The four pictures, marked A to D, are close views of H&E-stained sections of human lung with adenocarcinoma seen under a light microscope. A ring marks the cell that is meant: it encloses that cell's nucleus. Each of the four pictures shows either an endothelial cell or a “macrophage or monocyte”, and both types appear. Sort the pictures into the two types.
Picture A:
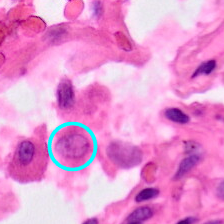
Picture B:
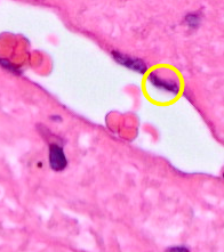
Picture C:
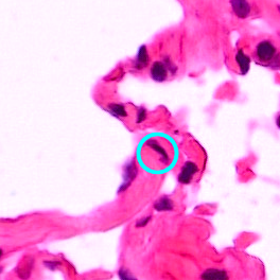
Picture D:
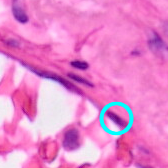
A: macrophage or monocyte
B: endothelial cell
C: endothelial cell
D: endothelial cell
